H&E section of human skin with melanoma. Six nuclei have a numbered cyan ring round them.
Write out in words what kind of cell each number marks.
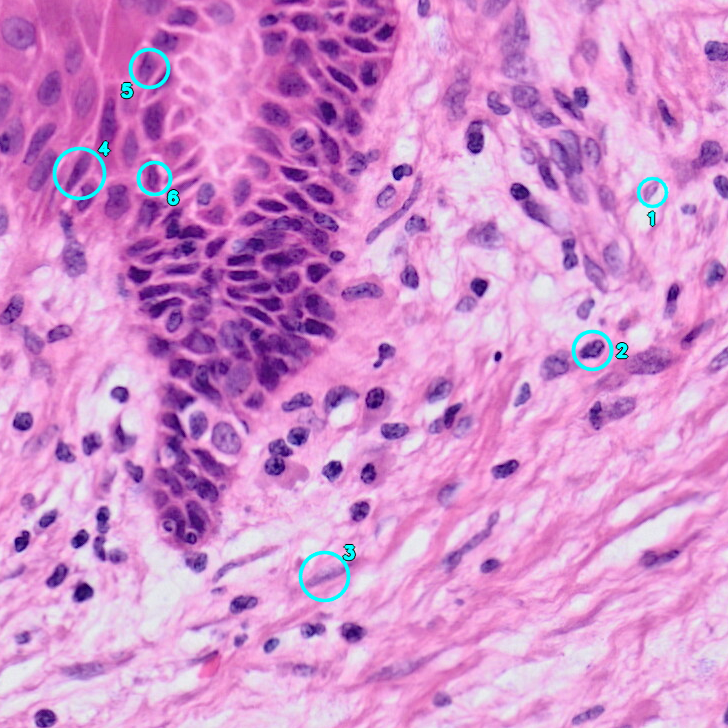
Cell 1 is a fibroblast or myofibroblast, cell 2 is a lymphocyte, cell 3 is a fibroblast or myofibroblast, cell 4 is a keratinocyte, cell 5 is a keratinocyte and cell 6 is a keratinocyte.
